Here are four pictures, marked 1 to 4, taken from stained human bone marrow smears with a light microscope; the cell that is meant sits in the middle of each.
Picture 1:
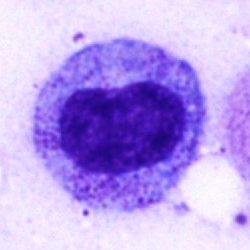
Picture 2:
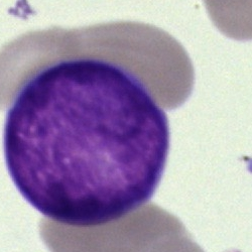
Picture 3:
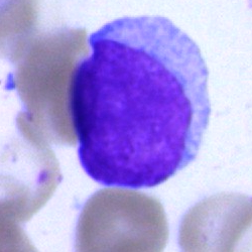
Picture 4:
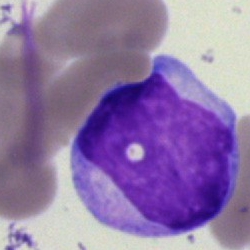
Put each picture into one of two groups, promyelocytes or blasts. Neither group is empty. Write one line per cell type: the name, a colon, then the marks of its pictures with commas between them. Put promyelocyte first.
promyelocyte: 1
blast: 2, 3, 4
